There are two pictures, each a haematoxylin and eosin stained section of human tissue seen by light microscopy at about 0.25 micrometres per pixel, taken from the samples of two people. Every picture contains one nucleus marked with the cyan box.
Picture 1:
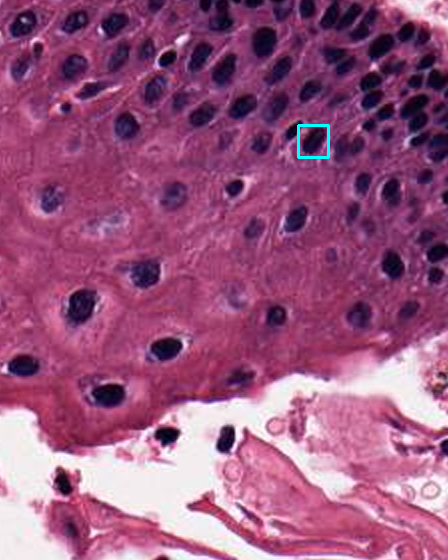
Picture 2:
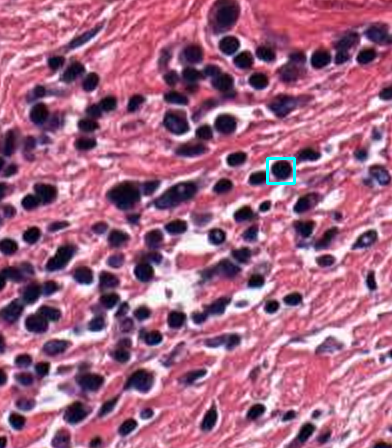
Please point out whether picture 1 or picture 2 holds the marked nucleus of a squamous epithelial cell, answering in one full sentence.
The marked nucleus in picture 1 is the nucleus of a squamous epithelial cell.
